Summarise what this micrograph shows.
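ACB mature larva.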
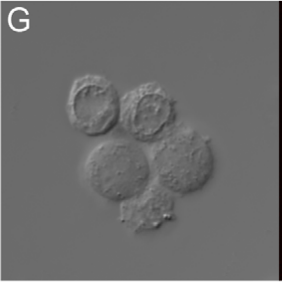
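Free insect blood cells, hemocytes, seen in differential interference contrast as a small loose cluster. Four rounded cells of similar size lie close together, two above and two below, with a smaller, irregularly shaped cell beneath them. Cell margins are smooth to slightly uneven, and the cells touch without forming a tissue. The background is even grey and free of other structures.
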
